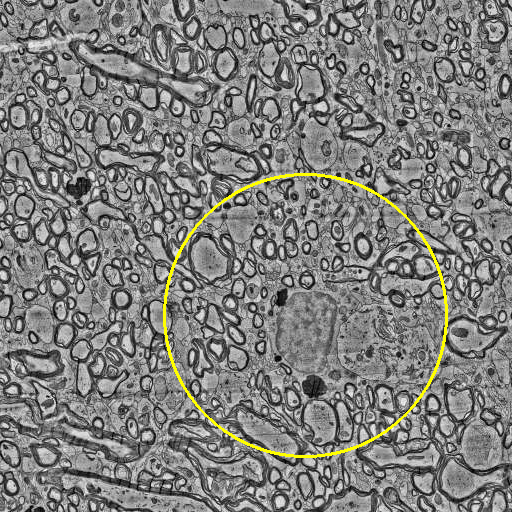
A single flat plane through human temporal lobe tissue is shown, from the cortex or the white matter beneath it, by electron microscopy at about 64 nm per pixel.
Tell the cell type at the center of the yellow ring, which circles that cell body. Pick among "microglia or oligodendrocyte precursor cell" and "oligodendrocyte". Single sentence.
The ring is centered on the body of an oligodendrocyte.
